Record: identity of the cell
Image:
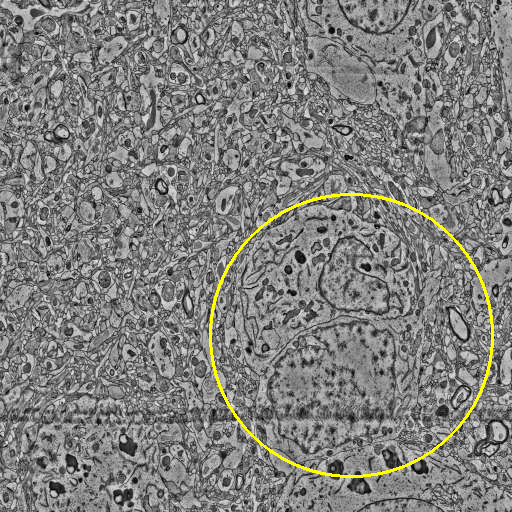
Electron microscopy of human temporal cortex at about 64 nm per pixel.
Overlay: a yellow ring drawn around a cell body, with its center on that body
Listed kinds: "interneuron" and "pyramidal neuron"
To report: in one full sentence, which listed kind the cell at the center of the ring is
In the image, the cell body at the ring's center belongs to an interneuron.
